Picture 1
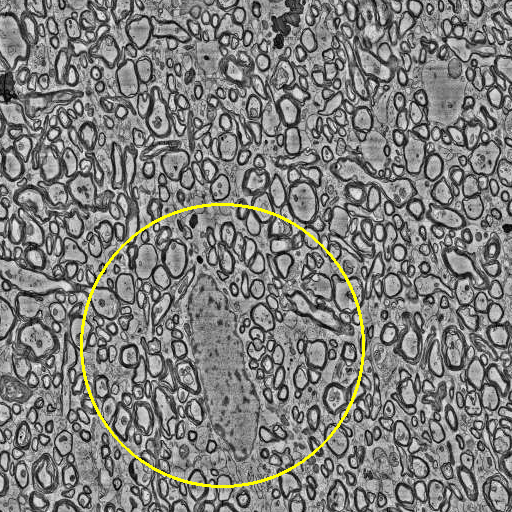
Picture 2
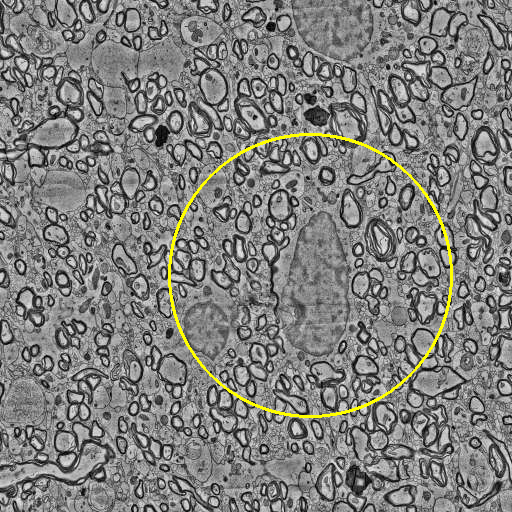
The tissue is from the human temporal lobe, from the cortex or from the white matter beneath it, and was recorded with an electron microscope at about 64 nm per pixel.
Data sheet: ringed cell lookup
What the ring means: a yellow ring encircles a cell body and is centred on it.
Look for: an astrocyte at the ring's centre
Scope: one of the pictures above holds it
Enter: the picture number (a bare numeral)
1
